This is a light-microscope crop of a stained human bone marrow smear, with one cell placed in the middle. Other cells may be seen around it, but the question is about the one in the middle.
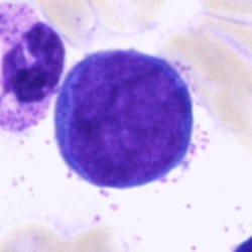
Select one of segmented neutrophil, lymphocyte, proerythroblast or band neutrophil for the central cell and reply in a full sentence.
The cell of interest, located centrally, is a proerythroblast.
